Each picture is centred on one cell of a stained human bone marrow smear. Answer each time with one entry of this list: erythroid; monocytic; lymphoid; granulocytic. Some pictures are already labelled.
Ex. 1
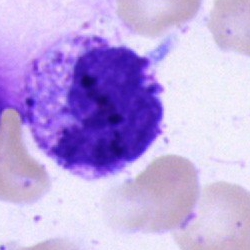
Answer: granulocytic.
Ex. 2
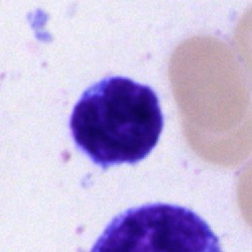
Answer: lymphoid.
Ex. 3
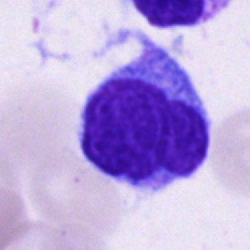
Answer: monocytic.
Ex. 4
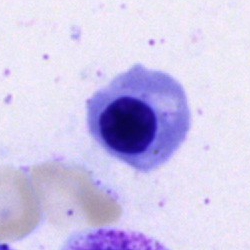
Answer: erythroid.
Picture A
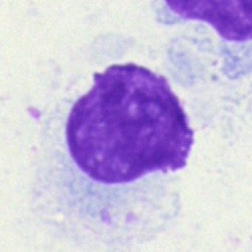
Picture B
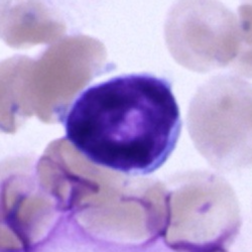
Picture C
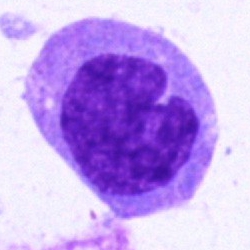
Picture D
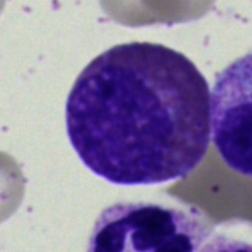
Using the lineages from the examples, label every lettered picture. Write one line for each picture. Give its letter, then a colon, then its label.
A: lymphoid.
B: lymphoid.
C: monocytic.
D: granulocytic.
